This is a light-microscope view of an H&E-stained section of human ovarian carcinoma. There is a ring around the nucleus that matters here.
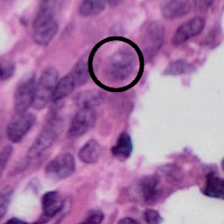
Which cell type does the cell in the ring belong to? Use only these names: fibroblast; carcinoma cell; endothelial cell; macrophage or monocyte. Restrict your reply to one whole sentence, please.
In this section of tissue, the cell in the ring is a carcinoma cell.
